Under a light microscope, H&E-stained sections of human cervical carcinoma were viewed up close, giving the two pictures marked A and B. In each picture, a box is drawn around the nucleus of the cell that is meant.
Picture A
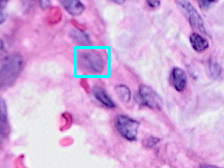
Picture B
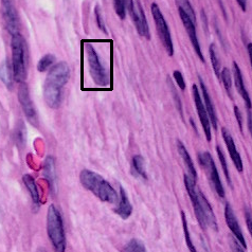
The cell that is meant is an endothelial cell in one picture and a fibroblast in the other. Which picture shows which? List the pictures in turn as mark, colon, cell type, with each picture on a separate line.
A: endothelial cell
B: fibroblast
